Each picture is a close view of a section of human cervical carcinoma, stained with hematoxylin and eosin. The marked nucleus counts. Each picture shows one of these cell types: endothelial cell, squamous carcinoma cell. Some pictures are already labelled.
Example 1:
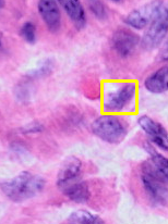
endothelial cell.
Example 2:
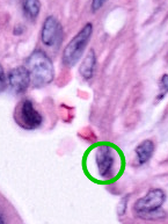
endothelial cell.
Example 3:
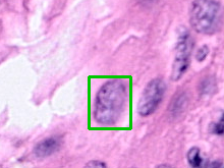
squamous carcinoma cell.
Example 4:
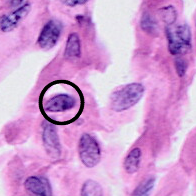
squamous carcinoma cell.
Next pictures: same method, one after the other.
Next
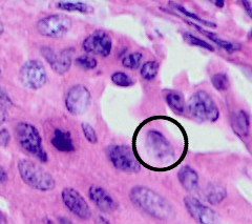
squamous carcinoma cell.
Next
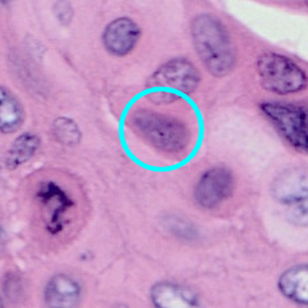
squamous carcinoma cell.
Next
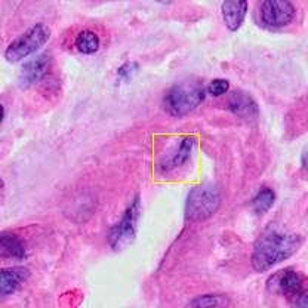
endothelial cell.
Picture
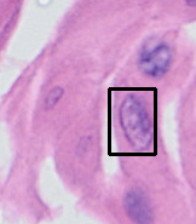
squamous carcinoma cell.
